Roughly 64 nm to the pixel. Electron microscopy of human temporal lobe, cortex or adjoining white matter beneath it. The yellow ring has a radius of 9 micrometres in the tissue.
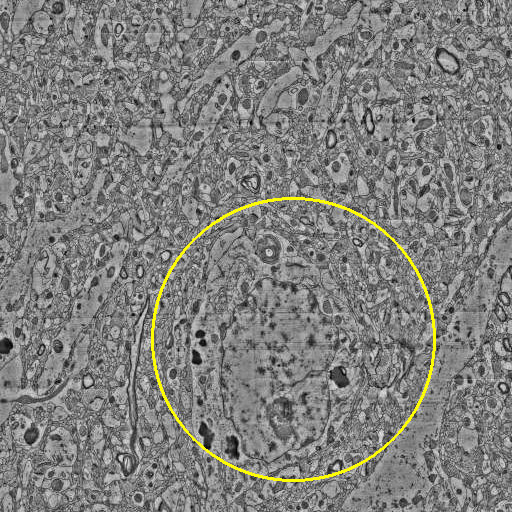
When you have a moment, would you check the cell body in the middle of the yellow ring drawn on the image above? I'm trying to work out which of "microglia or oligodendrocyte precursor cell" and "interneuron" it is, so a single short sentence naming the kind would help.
This cell body belongs to an interneuron.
